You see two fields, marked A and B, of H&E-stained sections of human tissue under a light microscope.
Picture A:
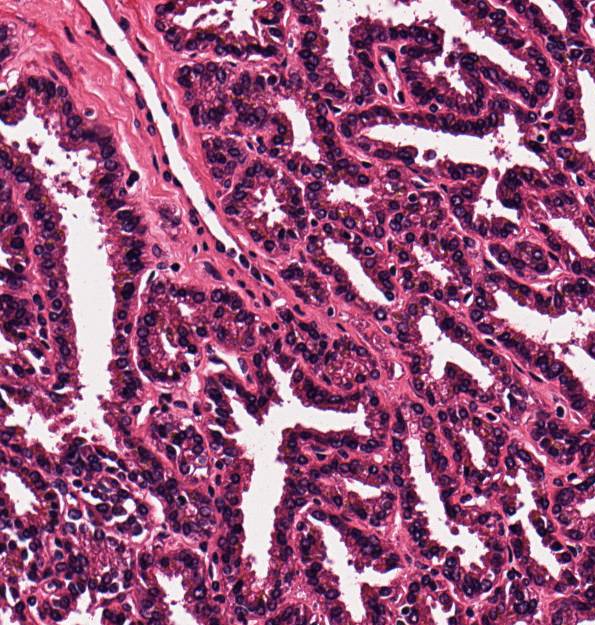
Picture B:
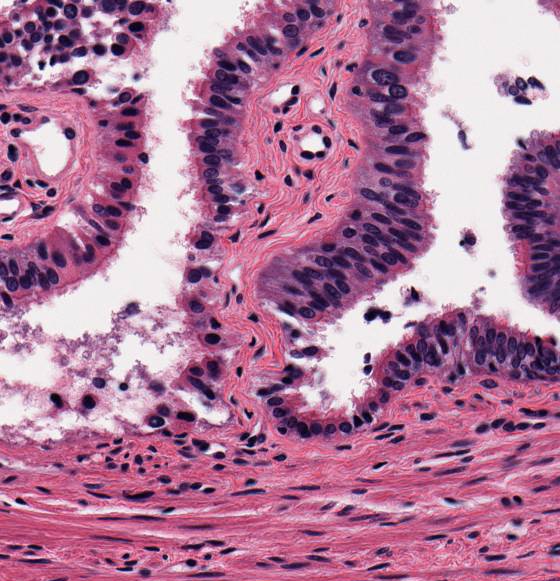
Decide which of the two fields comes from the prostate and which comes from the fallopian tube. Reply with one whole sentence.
It is picture A that comes from the prostate, and picture B that comes from the fallopian tube.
